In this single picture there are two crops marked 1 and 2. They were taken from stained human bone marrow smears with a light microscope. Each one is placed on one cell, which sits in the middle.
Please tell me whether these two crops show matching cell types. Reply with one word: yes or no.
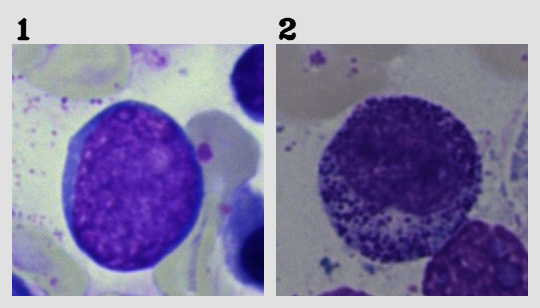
no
